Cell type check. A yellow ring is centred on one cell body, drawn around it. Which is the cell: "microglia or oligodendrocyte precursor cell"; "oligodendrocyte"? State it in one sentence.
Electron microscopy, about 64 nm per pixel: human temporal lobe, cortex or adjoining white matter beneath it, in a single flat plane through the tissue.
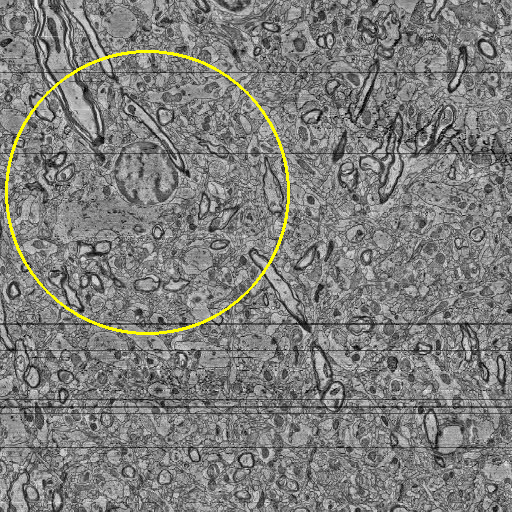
The cell body at the ring's centre belongs to a microglial cell or oligodendrocyte precursor cell.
